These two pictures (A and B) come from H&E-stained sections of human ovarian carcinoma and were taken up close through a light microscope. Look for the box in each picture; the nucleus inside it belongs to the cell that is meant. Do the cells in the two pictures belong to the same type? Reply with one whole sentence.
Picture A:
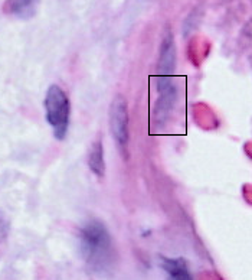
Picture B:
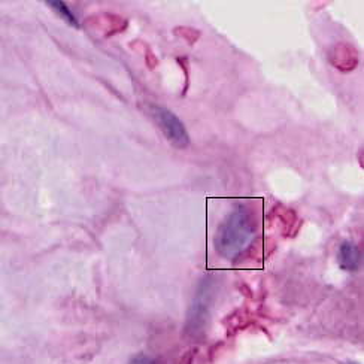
Yes, the two pictures both show endothelial cells.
